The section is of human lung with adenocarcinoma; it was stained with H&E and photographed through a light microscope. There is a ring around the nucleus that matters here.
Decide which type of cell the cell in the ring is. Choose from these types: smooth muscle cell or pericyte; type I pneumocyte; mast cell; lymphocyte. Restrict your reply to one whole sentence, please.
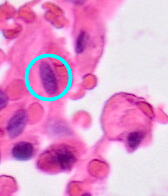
It is a type I pneumocyte that the cell in the ring represents.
